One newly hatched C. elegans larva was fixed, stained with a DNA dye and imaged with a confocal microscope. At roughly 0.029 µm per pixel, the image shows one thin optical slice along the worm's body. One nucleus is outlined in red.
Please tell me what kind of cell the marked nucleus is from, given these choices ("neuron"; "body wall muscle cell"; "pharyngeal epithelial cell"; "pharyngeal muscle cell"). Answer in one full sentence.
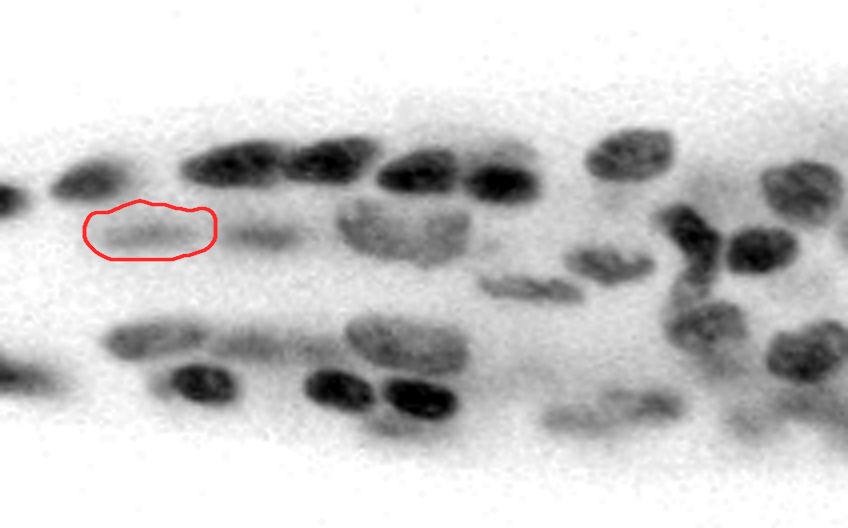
The marked nucleus belongs to a pharyngeal epithelial cell.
